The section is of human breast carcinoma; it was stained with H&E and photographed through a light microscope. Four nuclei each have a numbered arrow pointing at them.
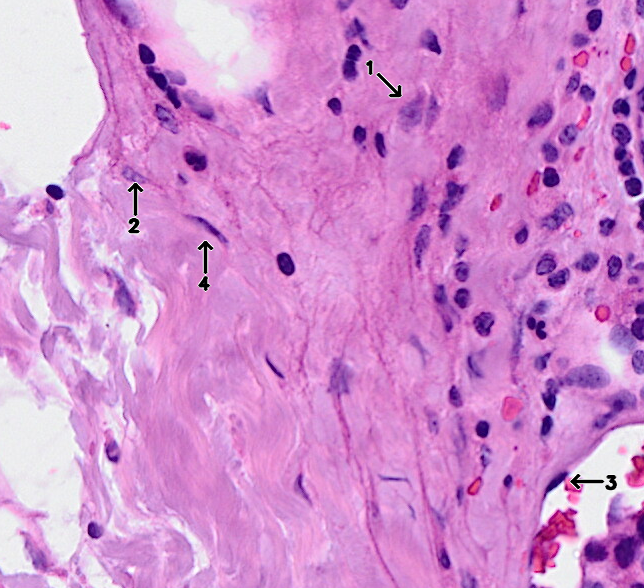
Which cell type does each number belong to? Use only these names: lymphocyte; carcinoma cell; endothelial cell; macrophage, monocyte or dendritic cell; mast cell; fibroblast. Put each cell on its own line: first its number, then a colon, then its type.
1: fibroblast
2: fibroblast
3: endothelial cell
4: fibroblast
